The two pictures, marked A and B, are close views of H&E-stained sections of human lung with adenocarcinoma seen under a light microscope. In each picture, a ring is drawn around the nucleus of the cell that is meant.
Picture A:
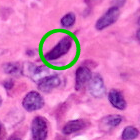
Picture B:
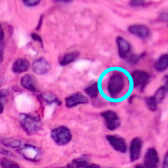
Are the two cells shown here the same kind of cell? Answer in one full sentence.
Yes, they are the same type: both are plasma cells.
